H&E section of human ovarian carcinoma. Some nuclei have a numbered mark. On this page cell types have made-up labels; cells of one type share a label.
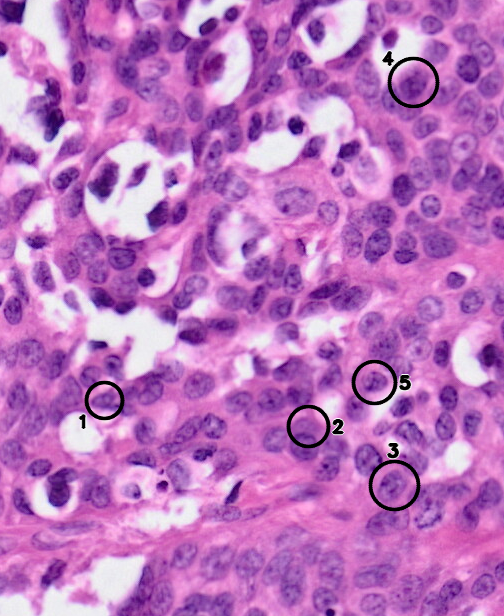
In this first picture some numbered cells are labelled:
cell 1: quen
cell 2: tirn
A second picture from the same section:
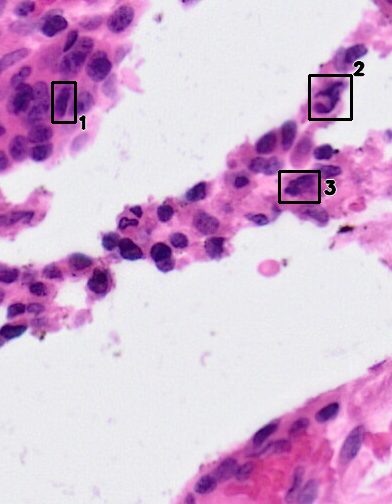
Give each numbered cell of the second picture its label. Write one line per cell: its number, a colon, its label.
1: tirn
2: quen
3: tirn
